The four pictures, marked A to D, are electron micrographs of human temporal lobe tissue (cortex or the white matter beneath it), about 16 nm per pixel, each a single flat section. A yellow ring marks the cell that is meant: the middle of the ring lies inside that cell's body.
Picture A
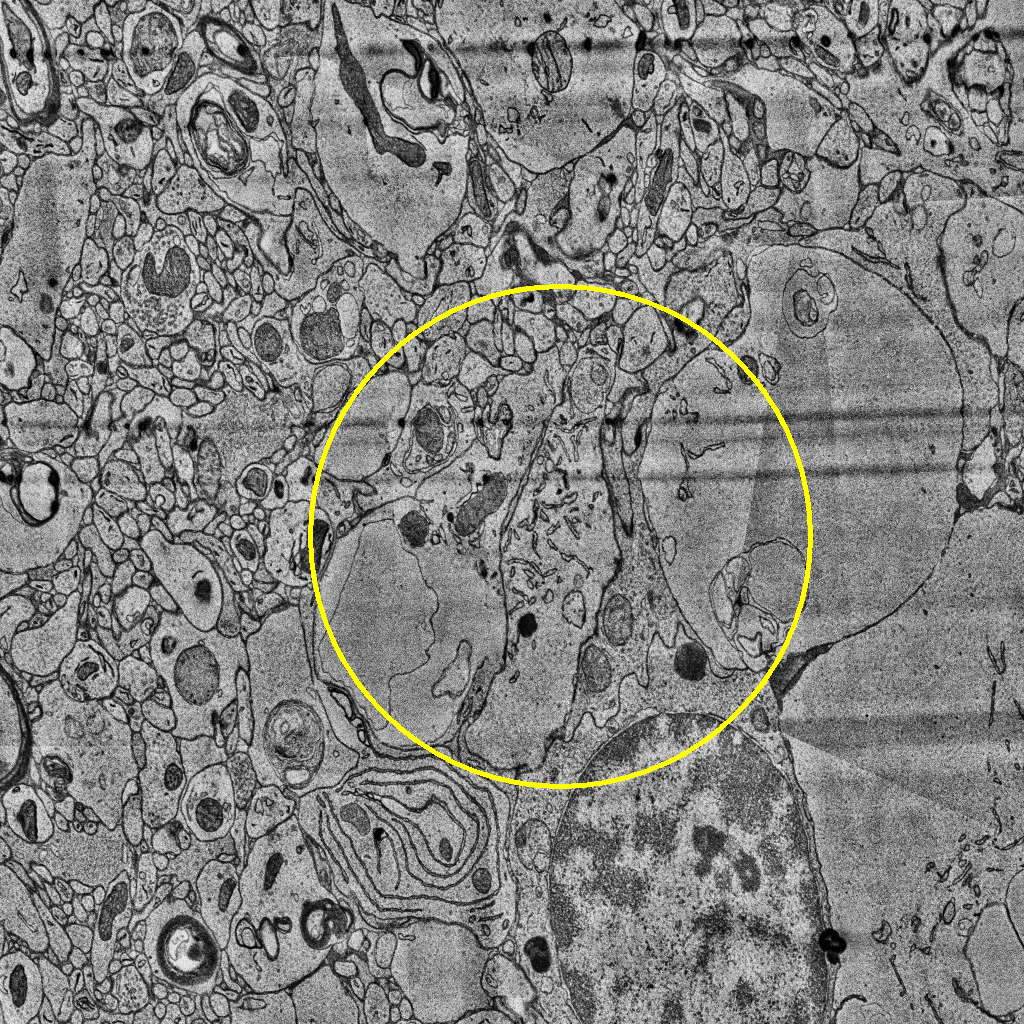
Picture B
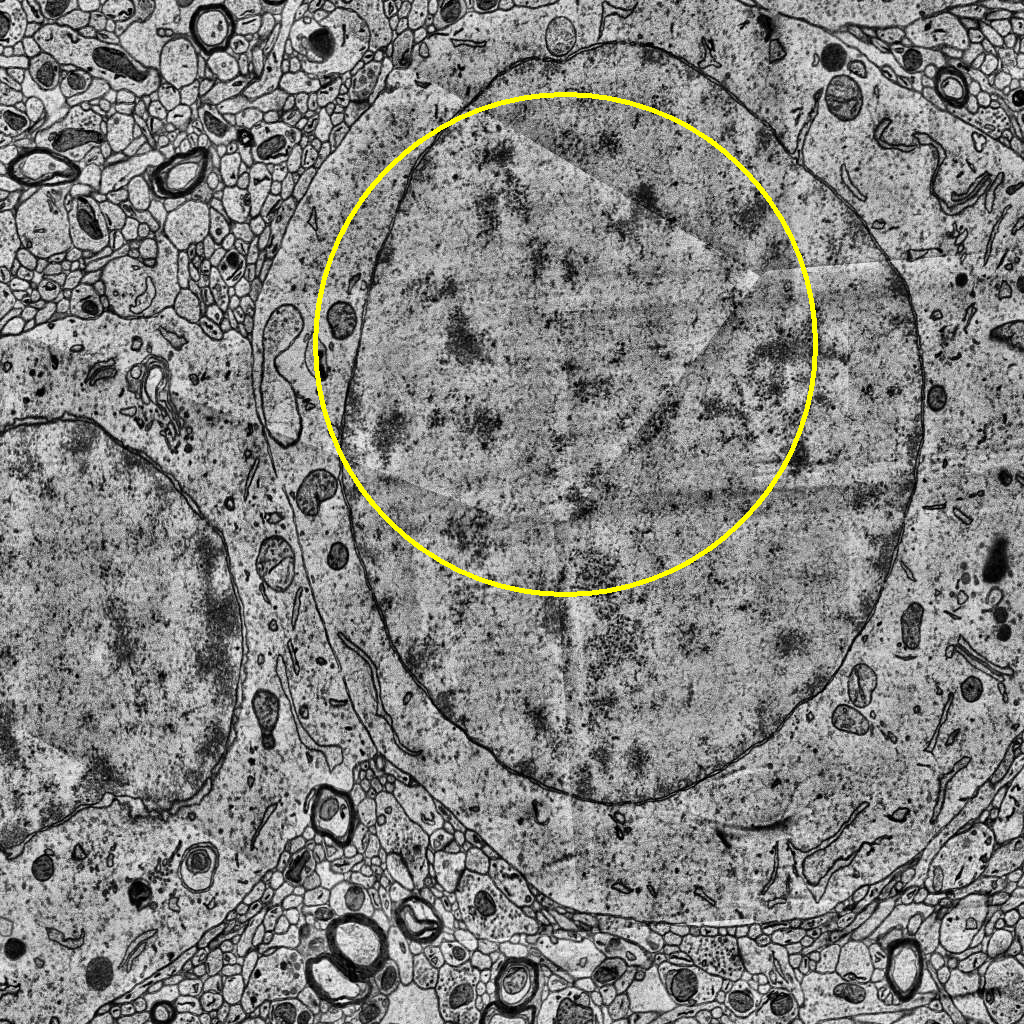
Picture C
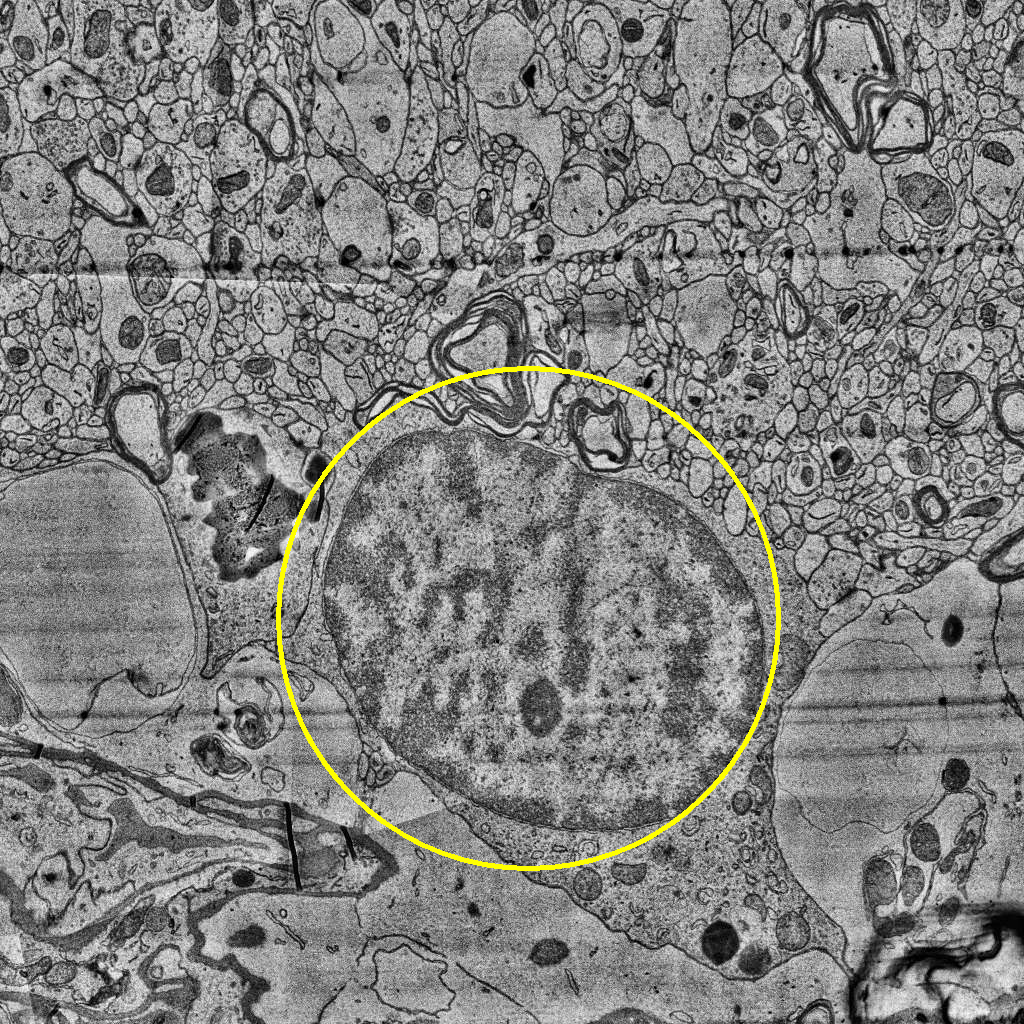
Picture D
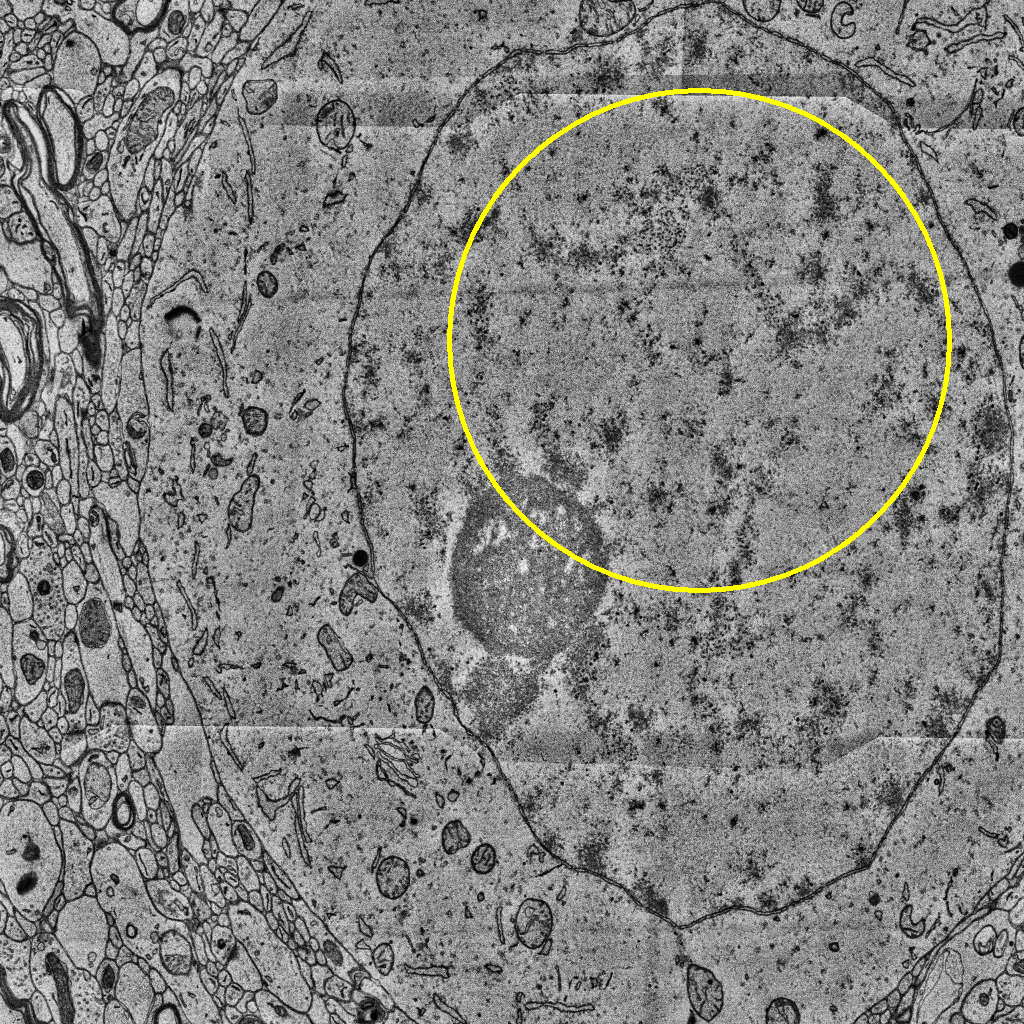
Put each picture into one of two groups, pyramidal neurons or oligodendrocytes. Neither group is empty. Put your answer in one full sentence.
Pictures B and D show pyramidal neurons, while pictures A and C show oligodendrocytes.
